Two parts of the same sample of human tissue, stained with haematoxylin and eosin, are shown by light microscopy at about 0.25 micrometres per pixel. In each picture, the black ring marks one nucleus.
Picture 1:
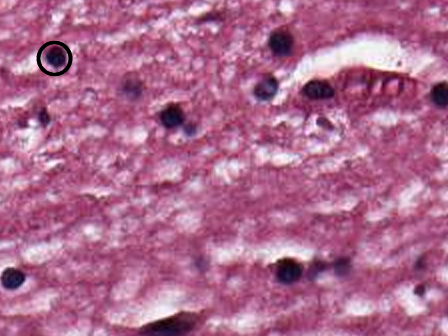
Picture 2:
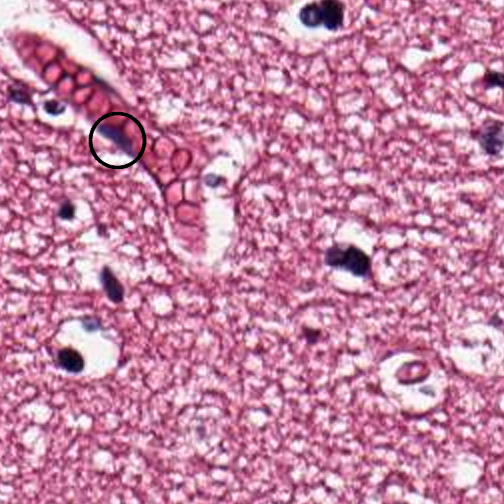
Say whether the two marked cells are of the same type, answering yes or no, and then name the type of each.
No, the first is an oligodendrocyte and the second an endothelial cell.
